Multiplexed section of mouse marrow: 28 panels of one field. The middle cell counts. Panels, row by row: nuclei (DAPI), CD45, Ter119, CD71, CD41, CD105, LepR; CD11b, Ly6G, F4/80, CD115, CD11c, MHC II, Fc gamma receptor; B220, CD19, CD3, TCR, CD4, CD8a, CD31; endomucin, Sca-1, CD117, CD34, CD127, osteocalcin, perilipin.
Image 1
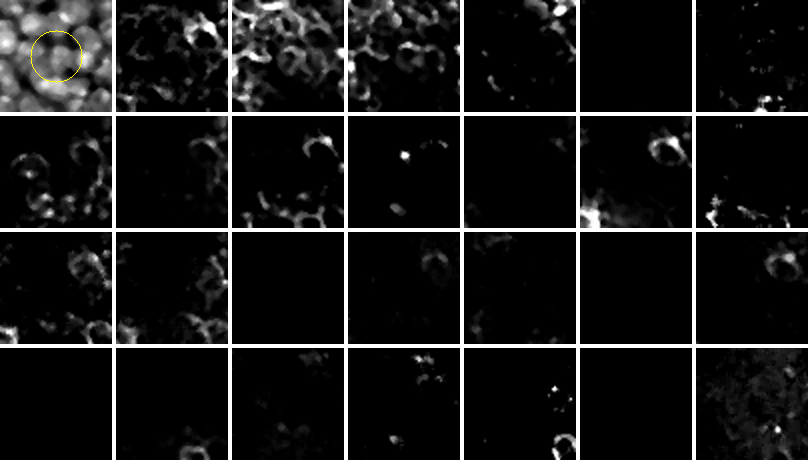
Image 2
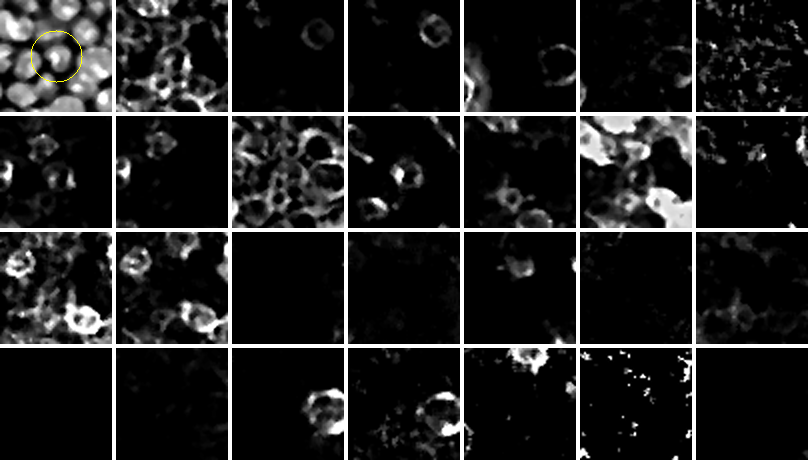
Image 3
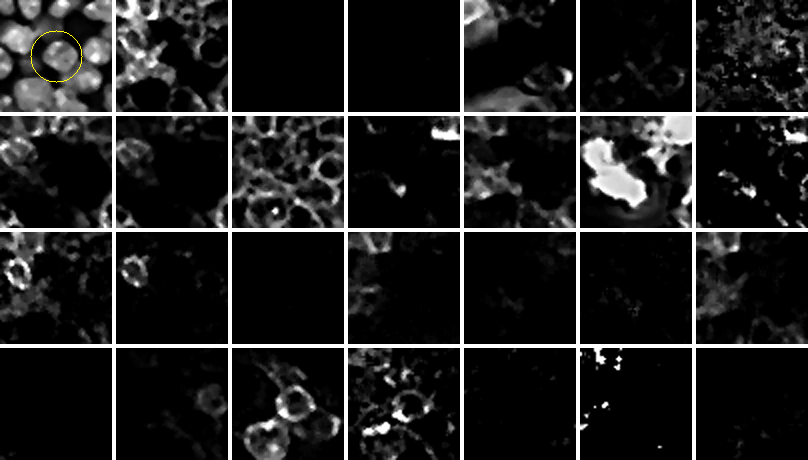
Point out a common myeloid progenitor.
That is picture 3.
